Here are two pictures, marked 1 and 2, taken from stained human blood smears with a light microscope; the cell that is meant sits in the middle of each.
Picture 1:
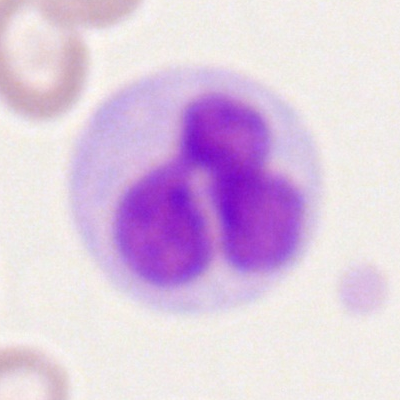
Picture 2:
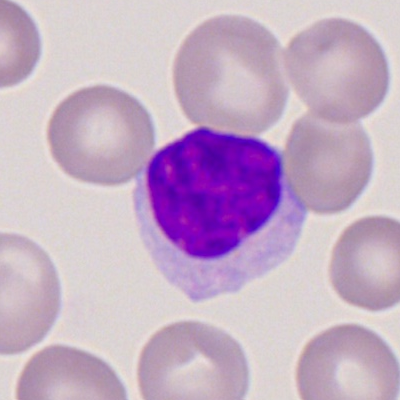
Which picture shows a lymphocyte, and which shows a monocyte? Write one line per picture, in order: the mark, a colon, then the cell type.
1: monocyte
2: lymphocyte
